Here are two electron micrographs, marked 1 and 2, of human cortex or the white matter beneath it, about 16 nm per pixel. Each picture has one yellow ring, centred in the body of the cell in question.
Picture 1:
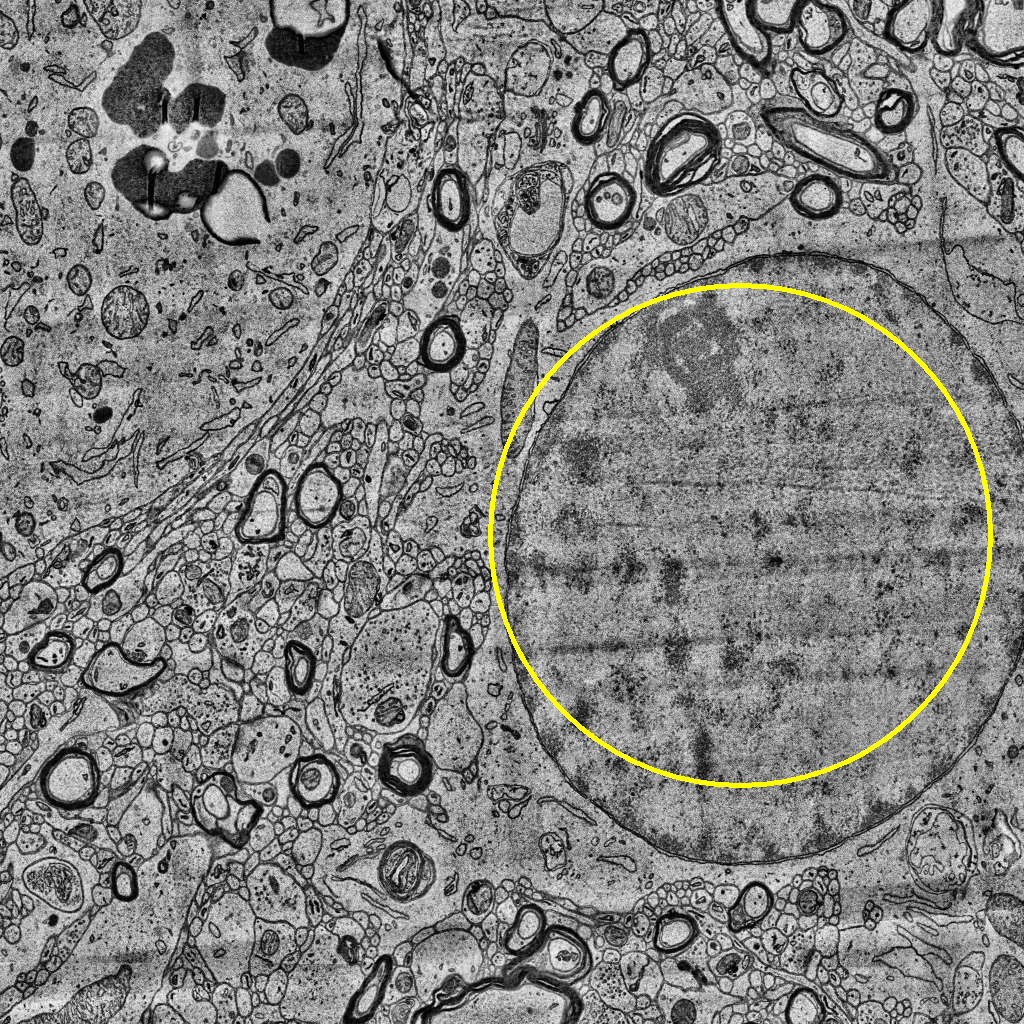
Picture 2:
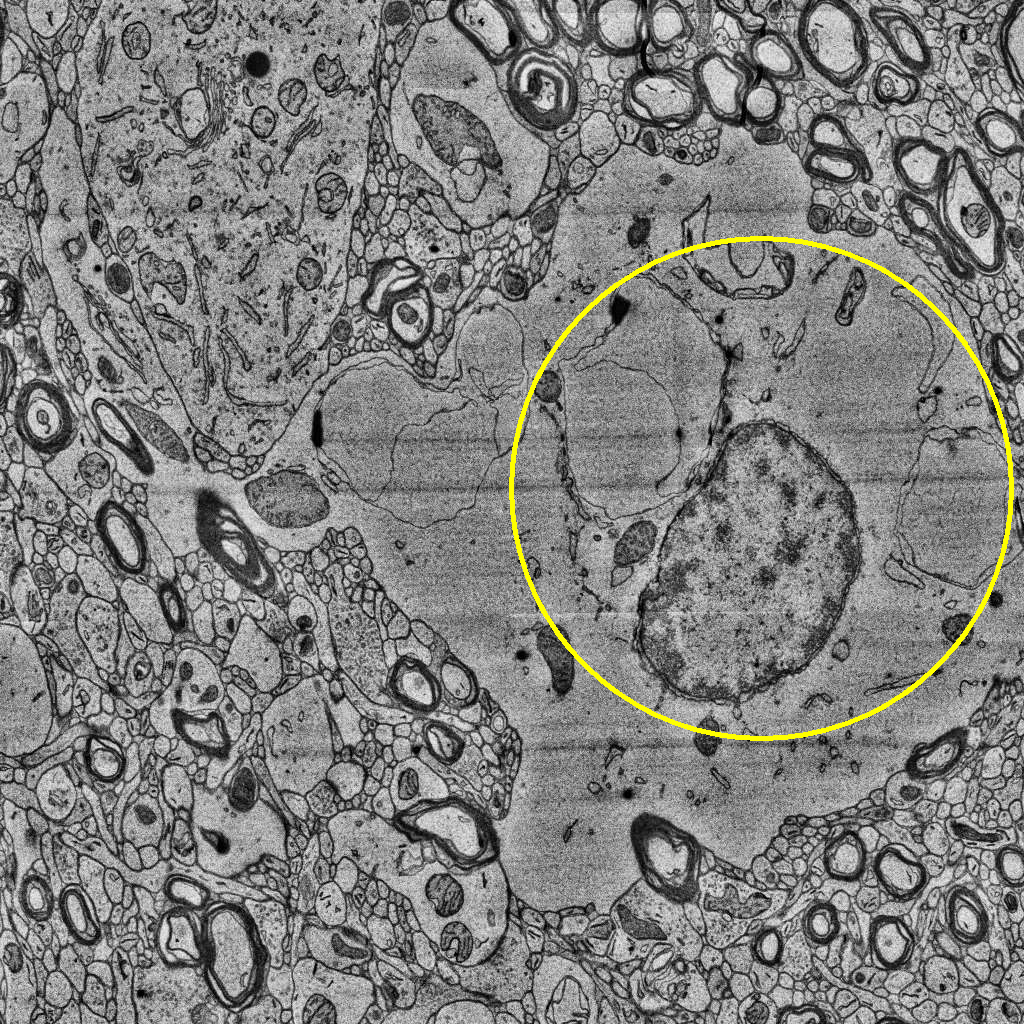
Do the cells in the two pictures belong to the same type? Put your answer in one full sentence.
Yes, both cells are astrocytes.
